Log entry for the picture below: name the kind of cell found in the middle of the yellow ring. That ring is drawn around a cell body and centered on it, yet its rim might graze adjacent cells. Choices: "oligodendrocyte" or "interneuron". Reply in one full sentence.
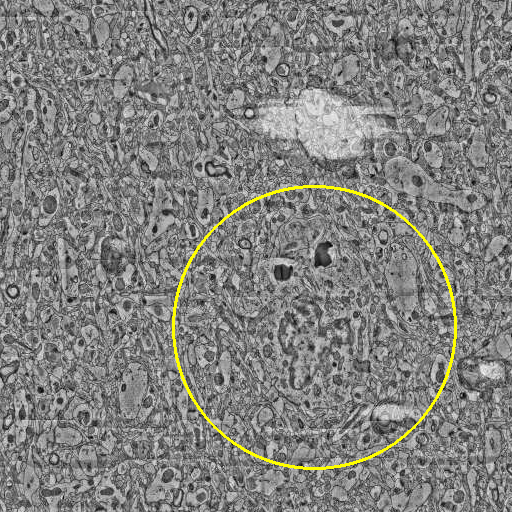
The cell in the middle of the yellow ring in this picture is an interneuron.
